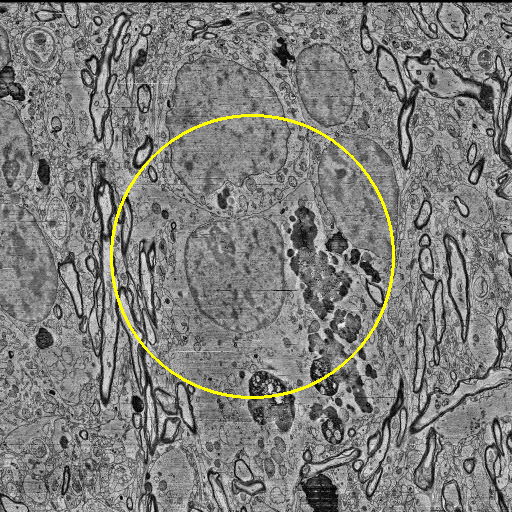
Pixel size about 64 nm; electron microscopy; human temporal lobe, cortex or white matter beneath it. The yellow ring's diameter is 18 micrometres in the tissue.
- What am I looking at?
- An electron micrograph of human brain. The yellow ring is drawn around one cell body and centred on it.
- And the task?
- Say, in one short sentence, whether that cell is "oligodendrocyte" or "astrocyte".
The cell in the middle of the ring is an astrocyte.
